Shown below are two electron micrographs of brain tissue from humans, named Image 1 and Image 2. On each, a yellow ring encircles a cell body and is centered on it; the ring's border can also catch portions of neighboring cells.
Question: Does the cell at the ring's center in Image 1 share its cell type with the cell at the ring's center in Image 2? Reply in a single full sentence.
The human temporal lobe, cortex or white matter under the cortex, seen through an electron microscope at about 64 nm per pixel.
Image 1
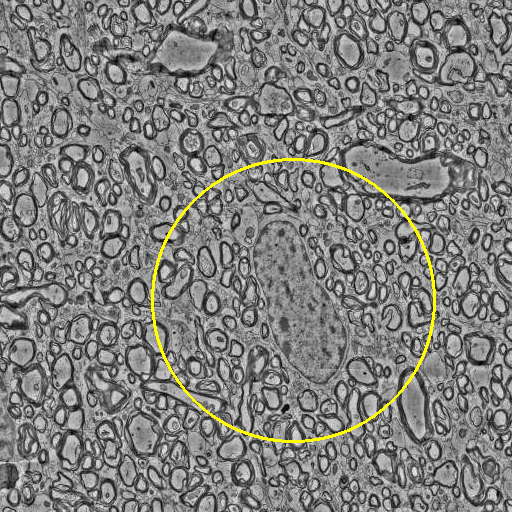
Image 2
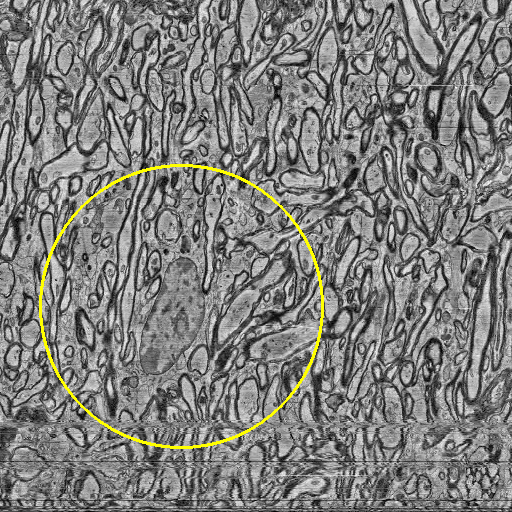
Yes, the two cells at the ring centers, in Image 1 and Image 2, share one cell type.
